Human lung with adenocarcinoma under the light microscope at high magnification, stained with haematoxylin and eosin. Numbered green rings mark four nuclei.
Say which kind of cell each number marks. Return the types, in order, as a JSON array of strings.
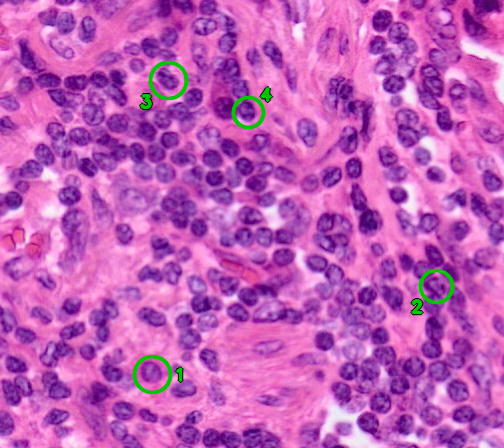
["mast cell", "lymphocyte", "lymphocyte", "lymphocyte"]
